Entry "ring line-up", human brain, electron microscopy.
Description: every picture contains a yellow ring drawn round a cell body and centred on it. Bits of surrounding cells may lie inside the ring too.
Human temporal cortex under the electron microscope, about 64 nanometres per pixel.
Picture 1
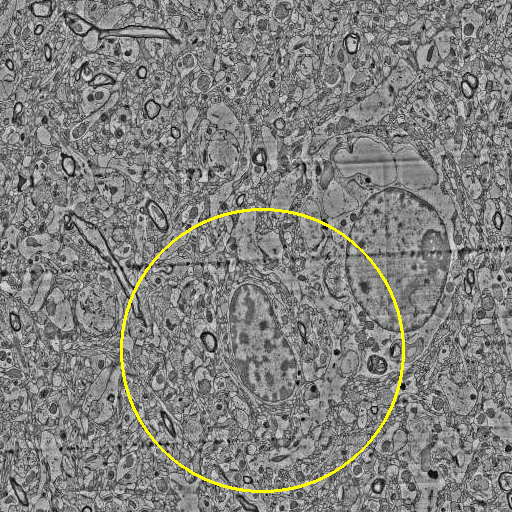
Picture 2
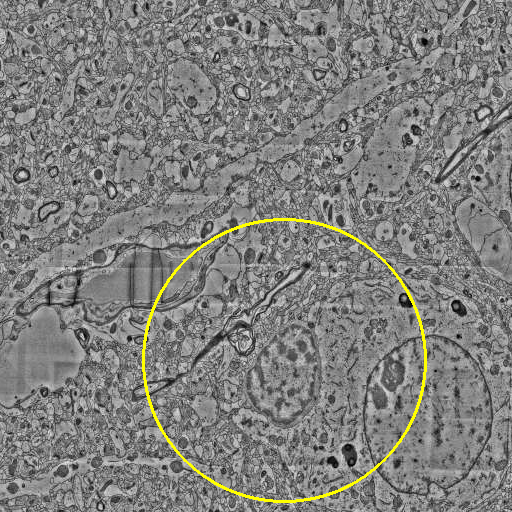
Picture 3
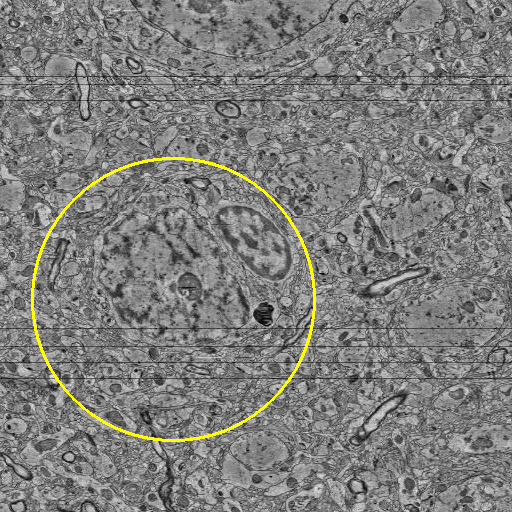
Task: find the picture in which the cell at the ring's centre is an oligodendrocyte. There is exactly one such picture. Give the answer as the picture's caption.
Picture 2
